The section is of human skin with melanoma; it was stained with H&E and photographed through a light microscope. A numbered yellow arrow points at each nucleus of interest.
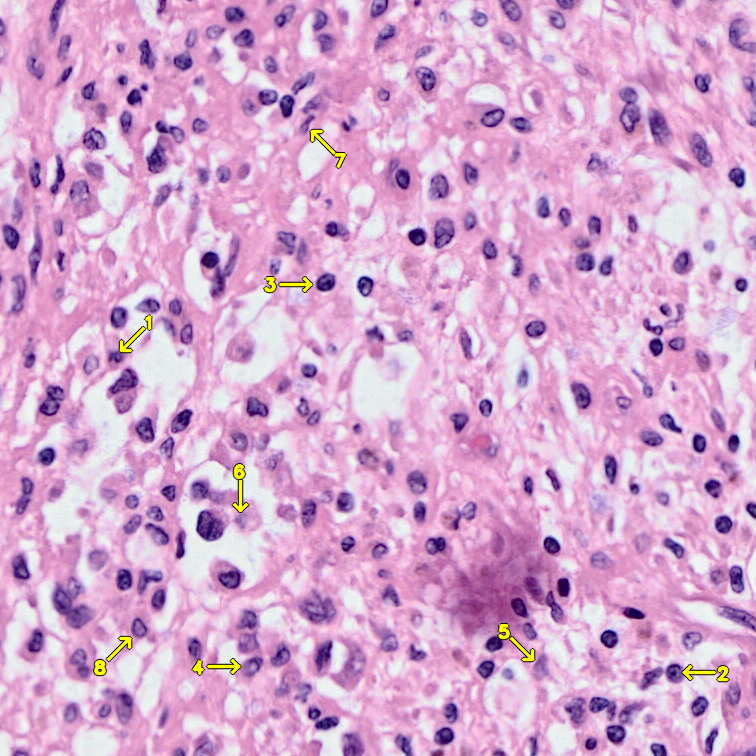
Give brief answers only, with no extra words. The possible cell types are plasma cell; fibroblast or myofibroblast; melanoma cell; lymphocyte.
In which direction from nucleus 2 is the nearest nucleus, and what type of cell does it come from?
a fibroblast or myofibroblast to the left of nucleus 2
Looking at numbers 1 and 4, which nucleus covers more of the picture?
4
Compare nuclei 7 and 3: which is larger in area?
3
